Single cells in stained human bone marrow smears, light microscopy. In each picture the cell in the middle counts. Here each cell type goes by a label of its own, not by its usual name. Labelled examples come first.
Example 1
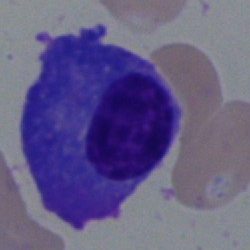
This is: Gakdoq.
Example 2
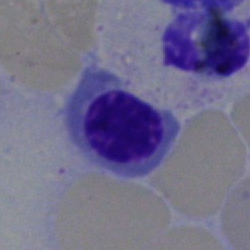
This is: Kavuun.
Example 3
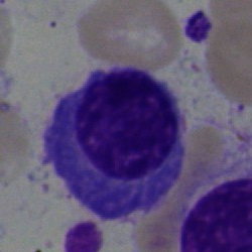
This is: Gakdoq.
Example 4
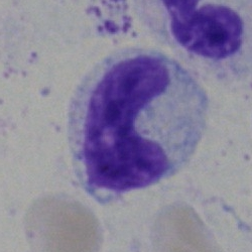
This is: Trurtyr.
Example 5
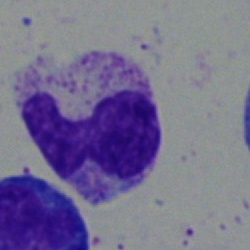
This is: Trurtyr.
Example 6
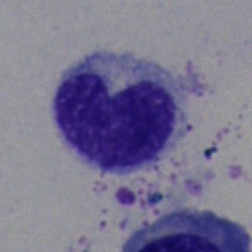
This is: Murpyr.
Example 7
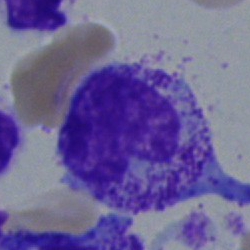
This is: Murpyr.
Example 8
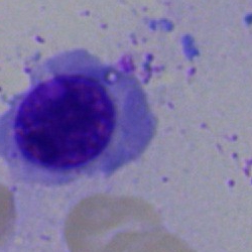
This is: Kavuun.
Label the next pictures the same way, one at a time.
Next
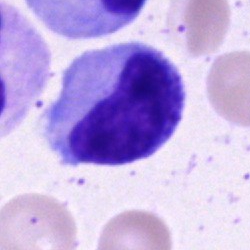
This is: Murpyr.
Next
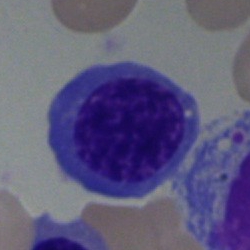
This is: Kavuun.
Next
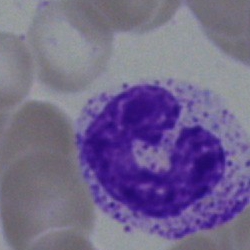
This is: Trurtyr.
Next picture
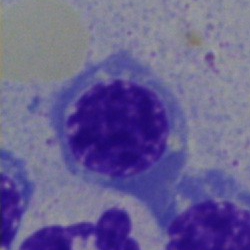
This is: Kavuun.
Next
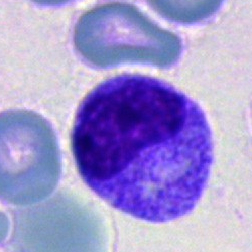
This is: Murpyr.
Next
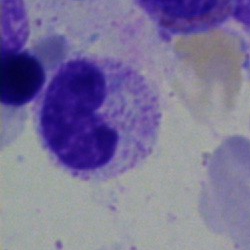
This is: Trurtyr.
